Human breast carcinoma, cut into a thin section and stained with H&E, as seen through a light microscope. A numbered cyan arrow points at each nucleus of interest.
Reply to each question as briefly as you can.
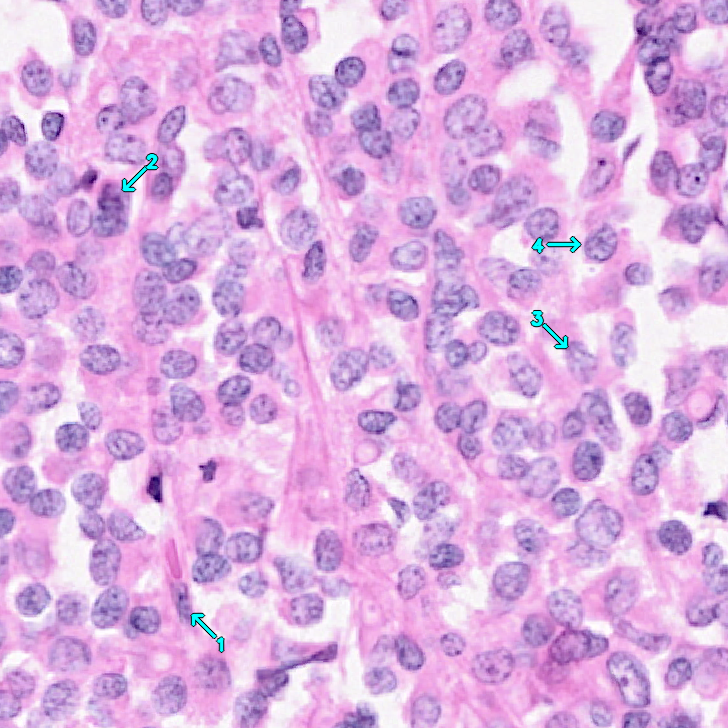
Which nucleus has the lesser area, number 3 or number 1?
1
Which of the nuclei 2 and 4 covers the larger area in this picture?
4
